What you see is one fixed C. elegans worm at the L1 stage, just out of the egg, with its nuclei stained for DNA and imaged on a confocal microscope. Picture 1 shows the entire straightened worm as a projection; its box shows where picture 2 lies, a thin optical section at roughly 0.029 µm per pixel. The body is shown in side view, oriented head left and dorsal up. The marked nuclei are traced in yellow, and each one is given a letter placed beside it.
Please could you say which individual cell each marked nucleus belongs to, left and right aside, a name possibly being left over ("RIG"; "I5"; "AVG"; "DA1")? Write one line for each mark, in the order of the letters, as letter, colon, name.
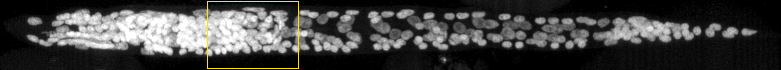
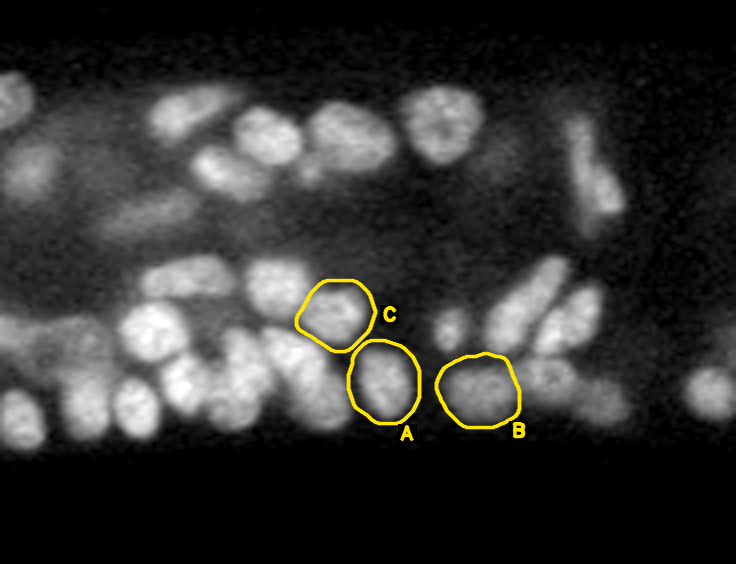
A: RIG
B: DA1
C: I5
